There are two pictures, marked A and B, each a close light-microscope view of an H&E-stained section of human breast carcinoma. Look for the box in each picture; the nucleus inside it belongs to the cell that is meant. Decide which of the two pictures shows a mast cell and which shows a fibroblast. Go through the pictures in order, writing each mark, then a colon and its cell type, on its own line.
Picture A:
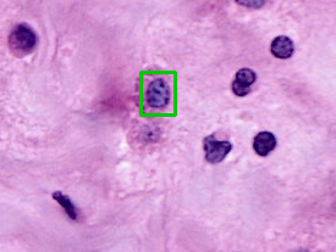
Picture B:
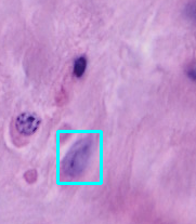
A: mast cell
B: fibroblast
